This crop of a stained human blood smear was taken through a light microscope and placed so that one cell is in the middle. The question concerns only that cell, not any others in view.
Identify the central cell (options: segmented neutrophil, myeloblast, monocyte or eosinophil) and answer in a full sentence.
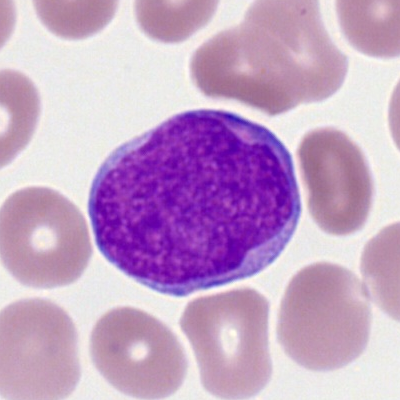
The cell at the middle of the frame should be recorded as a myeloblast.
